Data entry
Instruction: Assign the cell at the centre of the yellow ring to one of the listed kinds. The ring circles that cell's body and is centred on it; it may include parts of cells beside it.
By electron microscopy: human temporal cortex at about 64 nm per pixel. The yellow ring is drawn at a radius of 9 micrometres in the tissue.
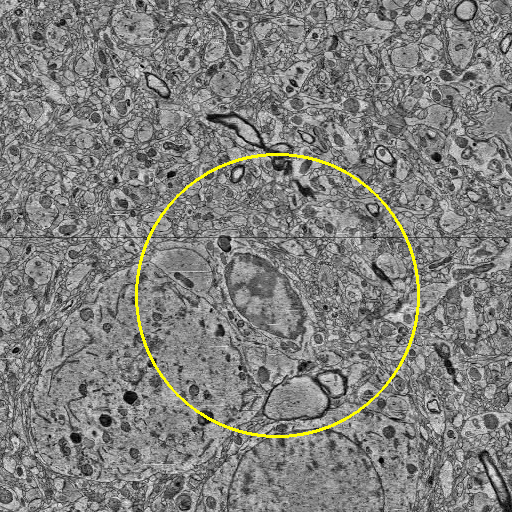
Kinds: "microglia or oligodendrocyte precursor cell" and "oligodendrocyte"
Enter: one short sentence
The centre of the ring falls on a microglial cell or oligodendrocyte precursor cell.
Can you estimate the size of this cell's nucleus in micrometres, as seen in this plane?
Approximately 6 micrometres long and 4 micrometres wide, in this plane.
